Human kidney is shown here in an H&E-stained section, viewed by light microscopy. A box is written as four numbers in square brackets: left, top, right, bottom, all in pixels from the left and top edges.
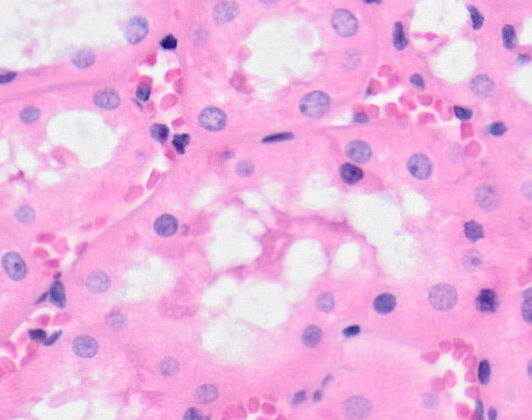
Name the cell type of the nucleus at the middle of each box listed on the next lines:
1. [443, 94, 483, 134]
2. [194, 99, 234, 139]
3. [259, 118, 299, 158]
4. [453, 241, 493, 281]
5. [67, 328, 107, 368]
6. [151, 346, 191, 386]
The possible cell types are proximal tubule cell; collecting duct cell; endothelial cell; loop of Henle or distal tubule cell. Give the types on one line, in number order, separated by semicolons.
endothelial cell; proximal tubule cell; endothelial cell; proximal tubule cell; proximal tubule cell; proximal tubule cell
